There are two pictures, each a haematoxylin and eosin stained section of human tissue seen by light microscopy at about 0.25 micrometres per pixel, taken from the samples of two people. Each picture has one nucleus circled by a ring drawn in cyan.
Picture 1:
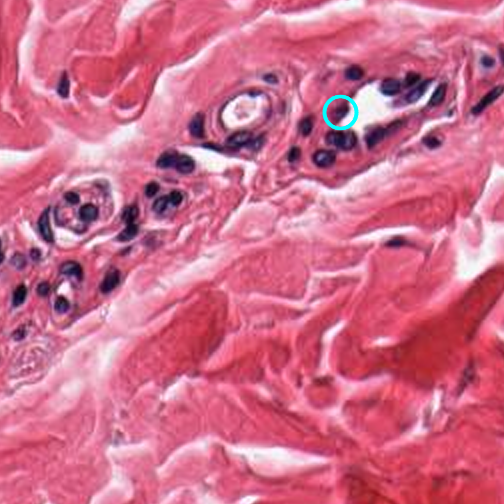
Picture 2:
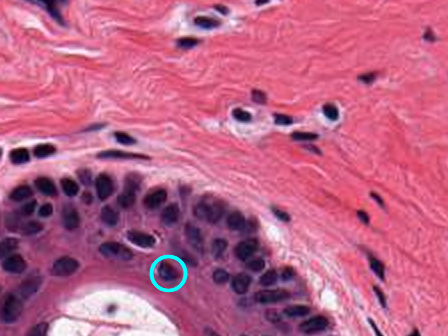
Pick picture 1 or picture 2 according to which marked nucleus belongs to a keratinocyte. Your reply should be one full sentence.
The marked nucleus in picture 2 is found within a keratinocyte.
